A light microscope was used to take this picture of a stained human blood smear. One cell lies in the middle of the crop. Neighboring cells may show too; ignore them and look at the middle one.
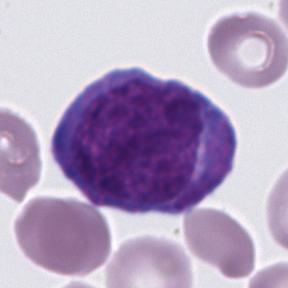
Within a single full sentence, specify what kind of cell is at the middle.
The cell sitting right in the middle is an atypical promyelocyte.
